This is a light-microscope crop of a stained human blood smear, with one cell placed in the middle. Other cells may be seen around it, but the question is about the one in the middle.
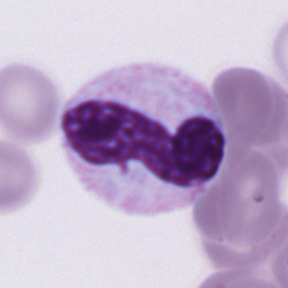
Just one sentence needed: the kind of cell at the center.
The centrally positioned cell in the crop represents a band neutrophil.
